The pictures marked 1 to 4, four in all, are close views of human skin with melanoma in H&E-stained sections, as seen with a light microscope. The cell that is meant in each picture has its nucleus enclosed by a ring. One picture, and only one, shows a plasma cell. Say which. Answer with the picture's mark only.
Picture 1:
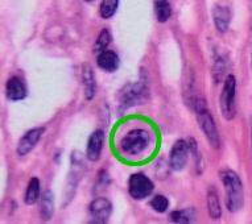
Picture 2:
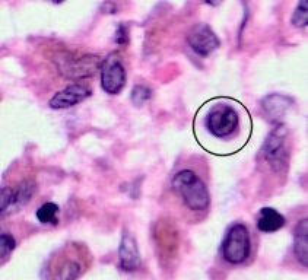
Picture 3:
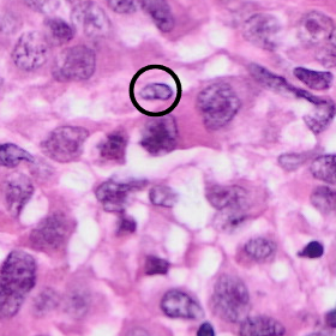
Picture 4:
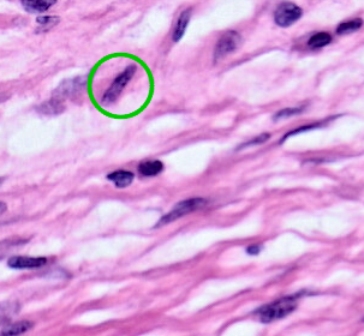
1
